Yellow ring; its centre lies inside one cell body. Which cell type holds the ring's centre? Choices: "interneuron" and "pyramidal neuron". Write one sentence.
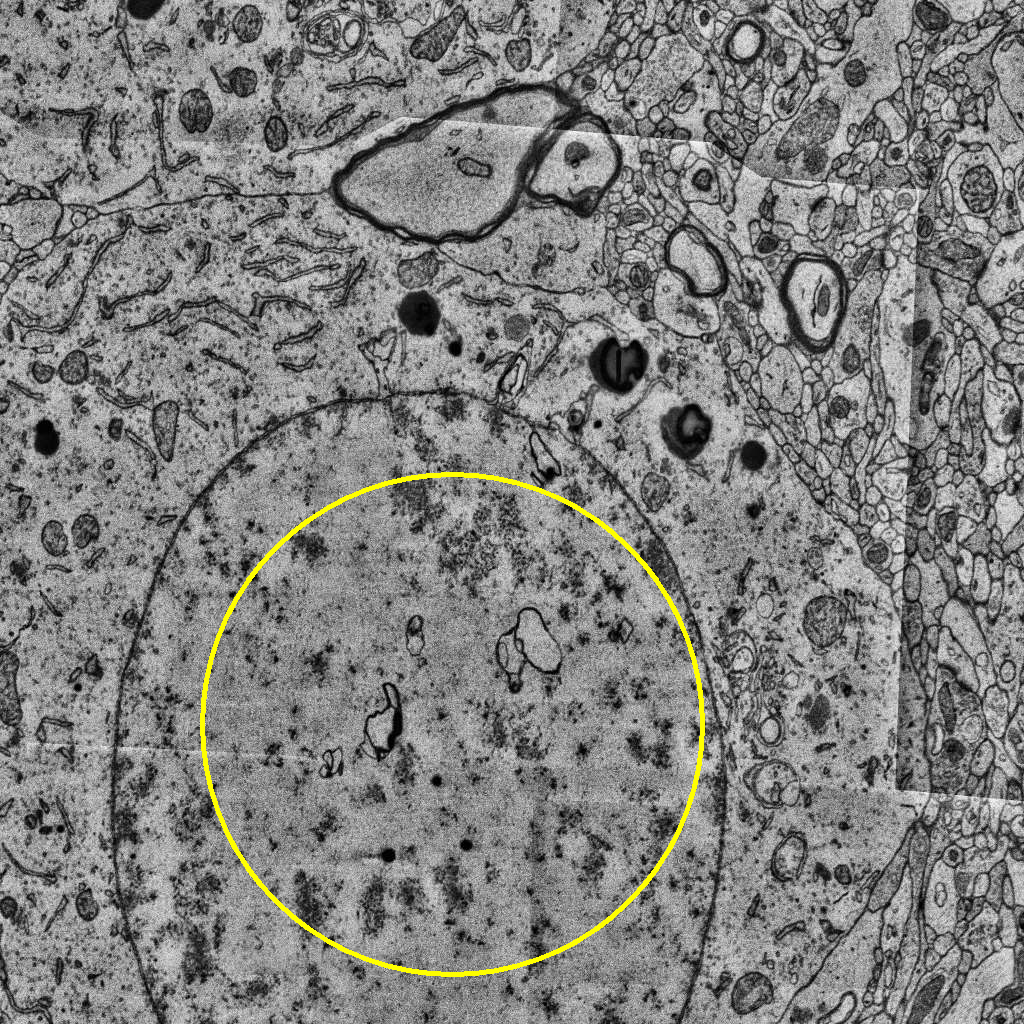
At the centre of the ring sits a pyramidal neuron.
